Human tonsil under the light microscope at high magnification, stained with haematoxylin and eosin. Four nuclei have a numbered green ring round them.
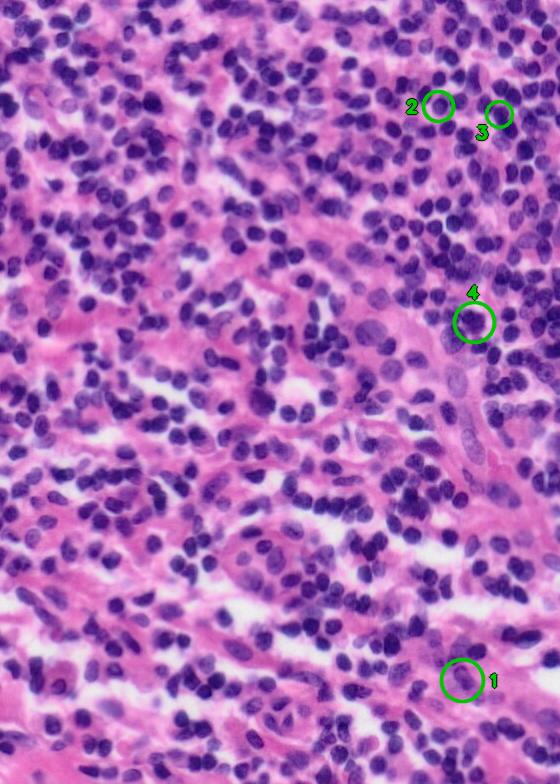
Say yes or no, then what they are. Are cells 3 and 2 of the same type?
Yes, both are small lymphocytes.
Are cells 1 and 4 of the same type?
No, cell 1 is an endothelial cell and cell 4 is a proliferating B cell.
